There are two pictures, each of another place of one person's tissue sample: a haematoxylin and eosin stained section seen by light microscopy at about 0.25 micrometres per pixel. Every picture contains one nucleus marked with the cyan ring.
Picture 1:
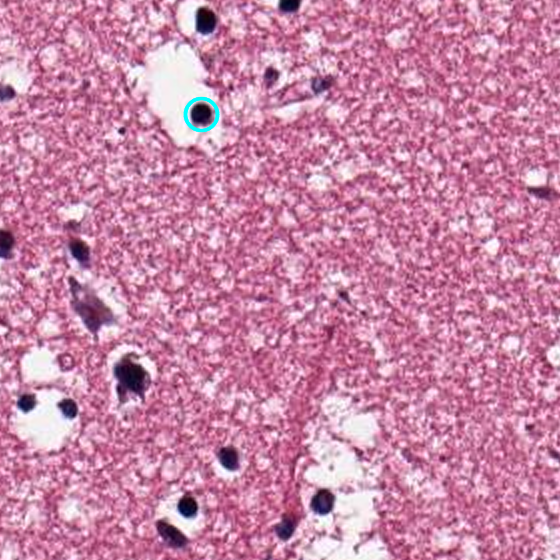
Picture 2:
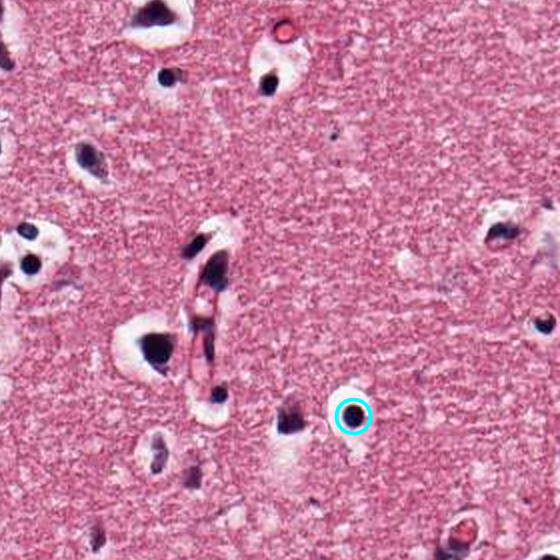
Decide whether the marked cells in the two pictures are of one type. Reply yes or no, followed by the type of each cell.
Yes, both are oligodendrocytes.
